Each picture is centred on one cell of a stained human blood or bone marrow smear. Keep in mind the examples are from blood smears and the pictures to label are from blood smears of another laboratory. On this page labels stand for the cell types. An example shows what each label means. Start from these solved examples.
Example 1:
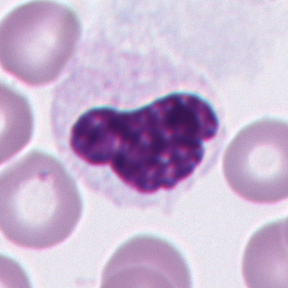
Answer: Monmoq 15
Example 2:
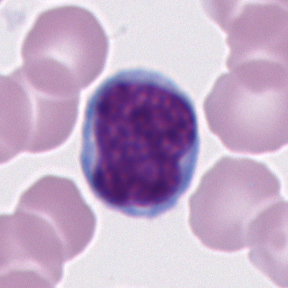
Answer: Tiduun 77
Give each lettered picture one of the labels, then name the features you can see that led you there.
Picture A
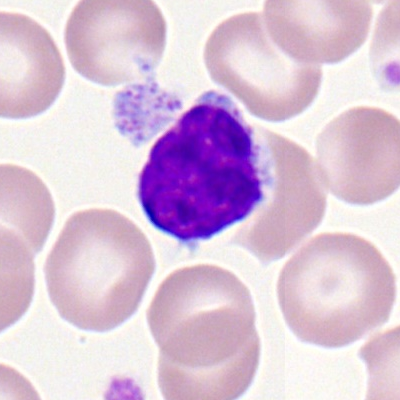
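Answer: Tiduun 77. The cytoplasm is only a thin rim around the nucleus.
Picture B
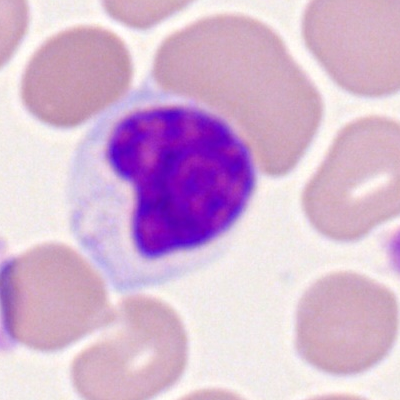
Answer: Tiduun 77. The nucleus is kidney-shaped, with its indentation on the left side.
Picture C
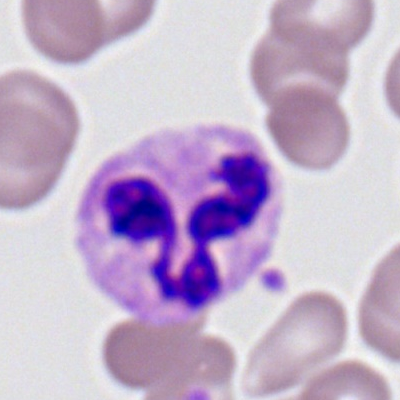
Answer: Monmoq 15. The nucleus is divided into several separate lobes.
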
